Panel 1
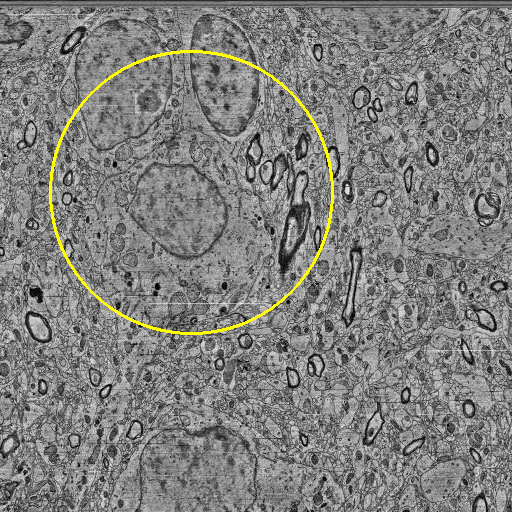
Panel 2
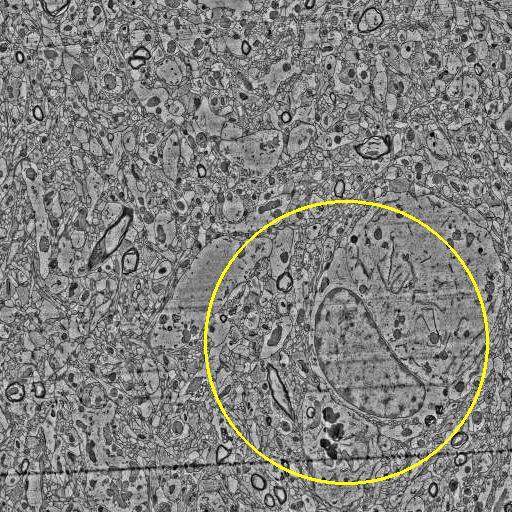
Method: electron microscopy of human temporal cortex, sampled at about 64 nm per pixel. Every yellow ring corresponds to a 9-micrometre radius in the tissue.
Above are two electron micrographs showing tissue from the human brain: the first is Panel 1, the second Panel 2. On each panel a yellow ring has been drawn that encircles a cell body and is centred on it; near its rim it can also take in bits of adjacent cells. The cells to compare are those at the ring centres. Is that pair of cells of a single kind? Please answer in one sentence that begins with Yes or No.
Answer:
No, the ring-centred cells of Panel 1 and Panel 2 belong to two kinds.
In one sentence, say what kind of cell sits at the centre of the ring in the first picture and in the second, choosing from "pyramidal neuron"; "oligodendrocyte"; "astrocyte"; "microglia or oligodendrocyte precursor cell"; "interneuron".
The first picture's ringed cell is a pyramidal neuron, while the second picture's is a microglial cell or oligodendrocyte precursor cell.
